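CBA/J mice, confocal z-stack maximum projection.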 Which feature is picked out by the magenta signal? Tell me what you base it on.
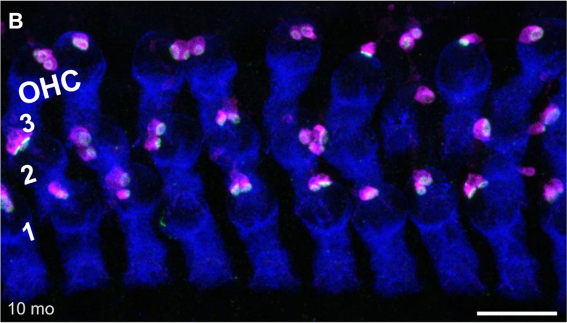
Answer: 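Efferent nerve terminals. Each cell carries one or a few magenta clusters. Green crescents lie where the magenta clusters touch the cell membrane.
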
